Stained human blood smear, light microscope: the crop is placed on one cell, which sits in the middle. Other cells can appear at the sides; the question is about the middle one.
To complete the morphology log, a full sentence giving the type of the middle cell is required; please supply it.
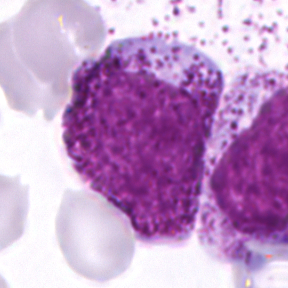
Where the crop is centred, there is a promyelocyte.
